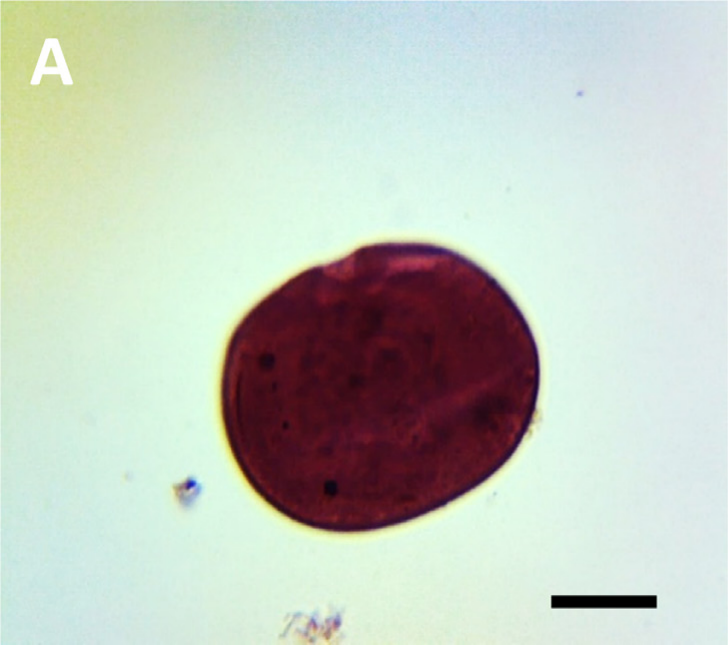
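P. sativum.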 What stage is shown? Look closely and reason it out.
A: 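Fertile pollen grain. A single rounded grain with a smooth wall. The whole grain is filled and deeply stained dark red-purple.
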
